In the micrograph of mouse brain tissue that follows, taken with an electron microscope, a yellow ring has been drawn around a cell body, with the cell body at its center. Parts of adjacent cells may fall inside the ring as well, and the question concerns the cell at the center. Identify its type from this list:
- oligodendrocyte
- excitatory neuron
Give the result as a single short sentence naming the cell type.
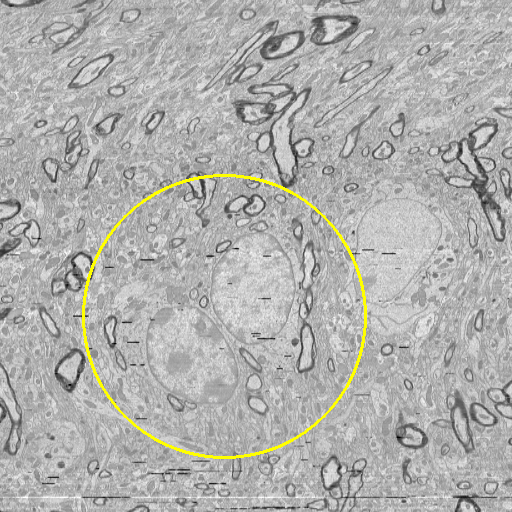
The ring is centered on an oligodendrocyte.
